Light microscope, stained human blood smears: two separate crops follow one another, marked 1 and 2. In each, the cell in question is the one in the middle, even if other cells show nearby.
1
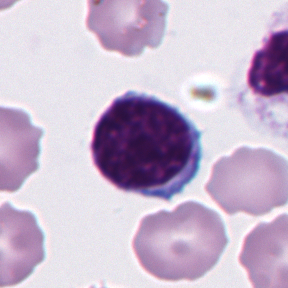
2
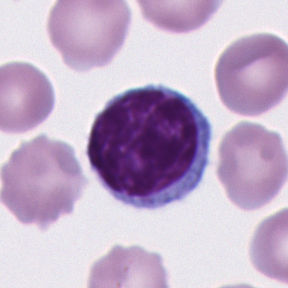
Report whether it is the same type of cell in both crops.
yes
